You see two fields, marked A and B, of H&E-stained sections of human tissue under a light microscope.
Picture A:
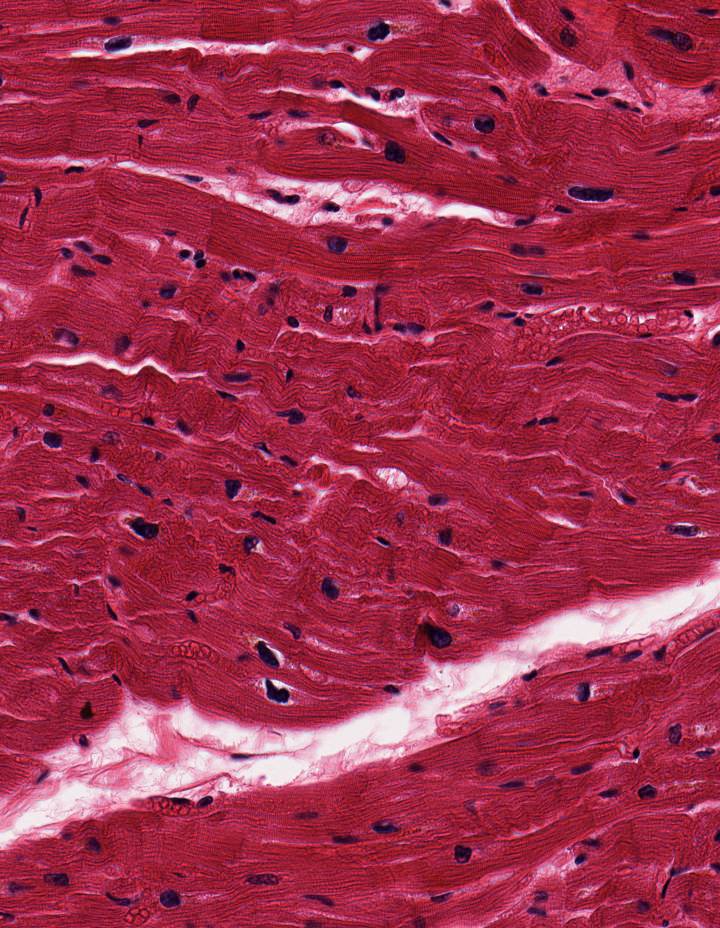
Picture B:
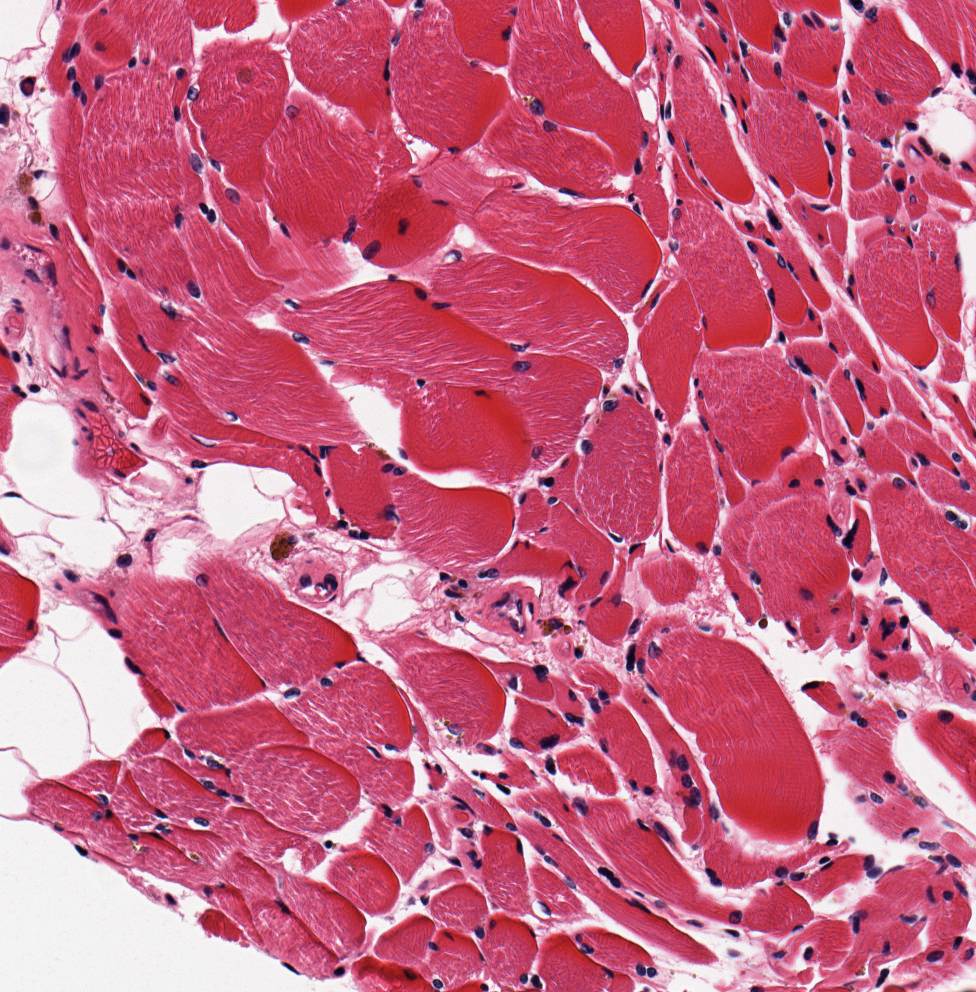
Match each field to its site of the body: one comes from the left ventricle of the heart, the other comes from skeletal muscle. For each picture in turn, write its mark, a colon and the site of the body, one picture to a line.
A: left ventricle of the heart
B: skeletal muscle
